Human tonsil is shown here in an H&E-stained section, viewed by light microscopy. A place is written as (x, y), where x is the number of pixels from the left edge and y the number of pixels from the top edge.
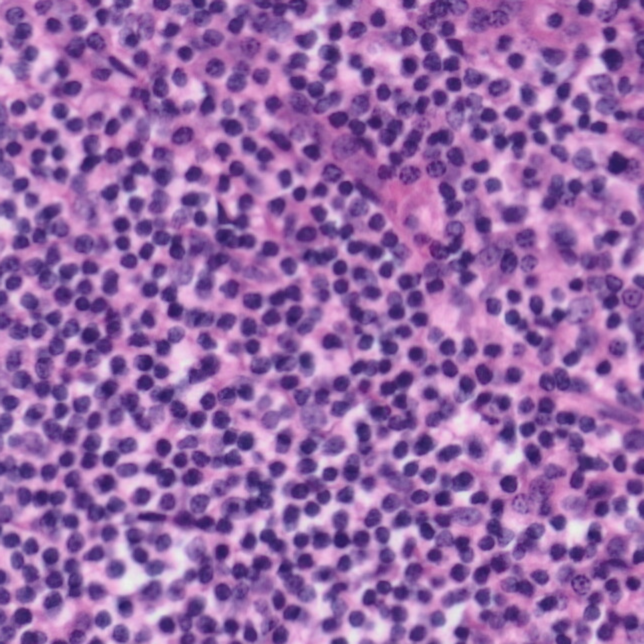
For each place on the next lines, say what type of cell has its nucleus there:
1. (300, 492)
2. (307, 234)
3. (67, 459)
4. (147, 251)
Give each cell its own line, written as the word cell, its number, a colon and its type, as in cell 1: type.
cell 1: small lymphocyte
cell 2: plasma cell
cell 3: small lymphocyte
cell 4: small lymphocyte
